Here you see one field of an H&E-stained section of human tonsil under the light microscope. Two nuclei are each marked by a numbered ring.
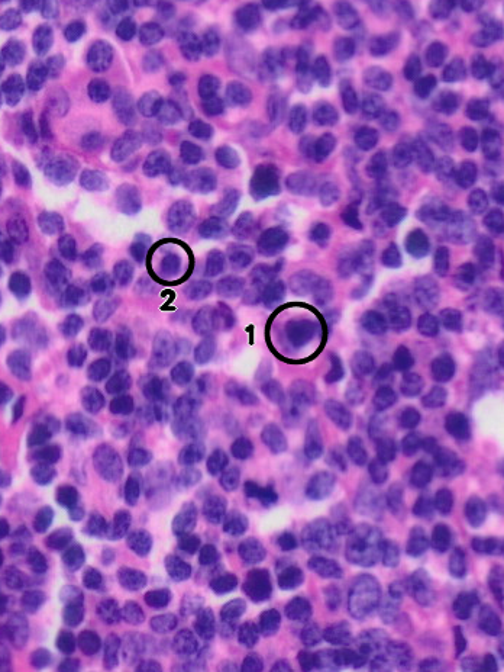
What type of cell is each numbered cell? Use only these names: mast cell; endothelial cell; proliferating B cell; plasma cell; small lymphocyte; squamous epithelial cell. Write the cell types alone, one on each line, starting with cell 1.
proliferating B cell
small lymphocyte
